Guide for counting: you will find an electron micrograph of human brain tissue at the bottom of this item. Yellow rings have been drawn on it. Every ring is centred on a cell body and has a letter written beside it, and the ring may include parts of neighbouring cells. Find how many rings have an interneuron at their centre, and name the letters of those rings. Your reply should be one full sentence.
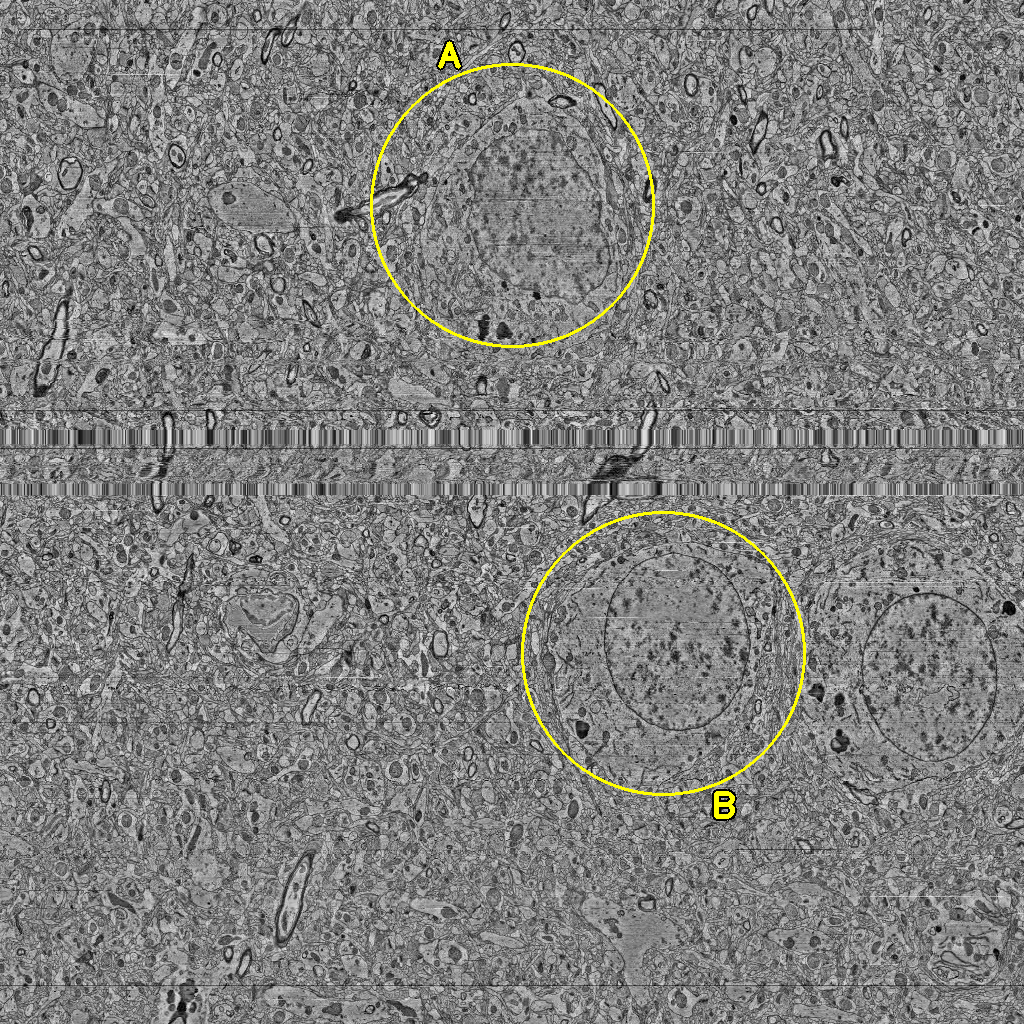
Only one ring, marked with A, has its centre on an interneuron.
